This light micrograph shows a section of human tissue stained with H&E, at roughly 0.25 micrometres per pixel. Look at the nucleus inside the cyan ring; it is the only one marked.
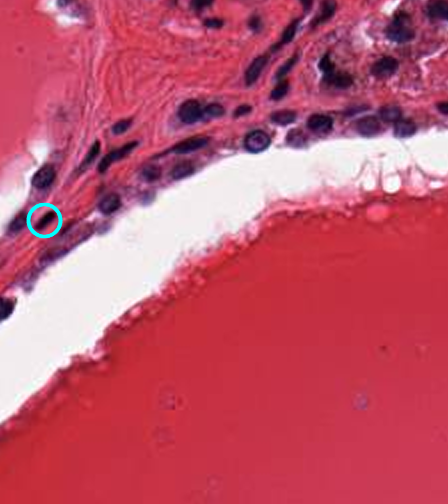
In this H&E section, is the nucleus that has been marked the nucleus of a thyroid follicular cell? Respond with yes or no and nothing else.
no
